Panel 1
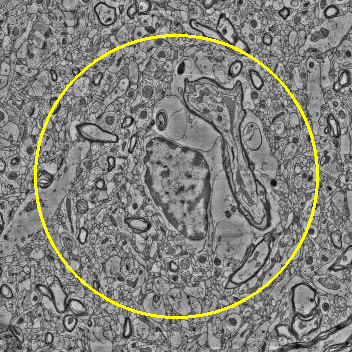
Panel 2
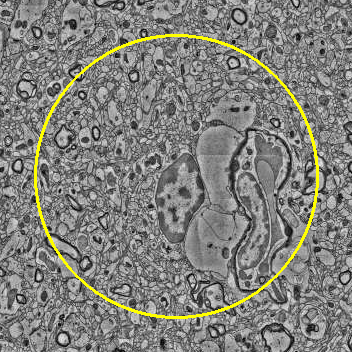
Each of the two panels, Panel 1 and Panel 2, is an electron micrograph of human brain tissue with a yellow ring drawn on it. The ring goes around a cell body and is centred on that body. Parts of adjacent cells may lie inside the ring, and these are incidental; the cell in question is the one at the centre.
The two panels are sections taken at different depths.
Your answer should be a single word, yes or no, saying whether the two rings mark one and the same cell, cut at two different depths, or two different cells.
no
